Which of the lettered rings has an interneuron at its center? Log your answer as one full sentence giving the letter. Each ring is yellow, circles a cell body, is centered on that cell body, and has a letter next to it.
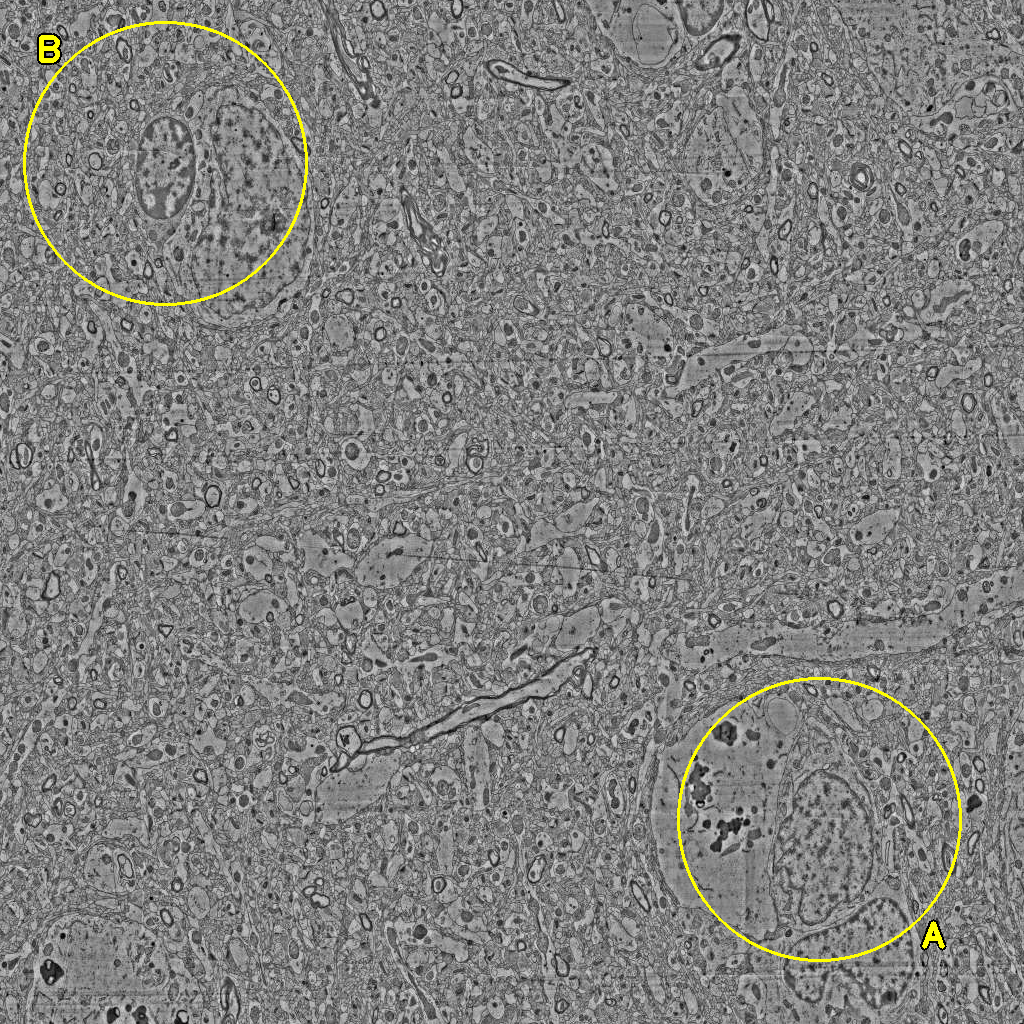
The lettered ring centered on the cell asked for is ring A.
